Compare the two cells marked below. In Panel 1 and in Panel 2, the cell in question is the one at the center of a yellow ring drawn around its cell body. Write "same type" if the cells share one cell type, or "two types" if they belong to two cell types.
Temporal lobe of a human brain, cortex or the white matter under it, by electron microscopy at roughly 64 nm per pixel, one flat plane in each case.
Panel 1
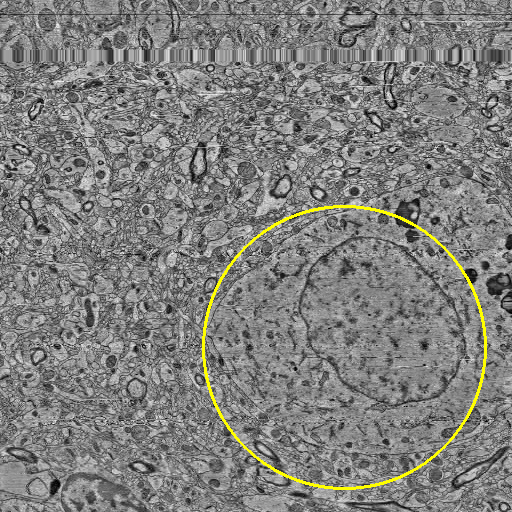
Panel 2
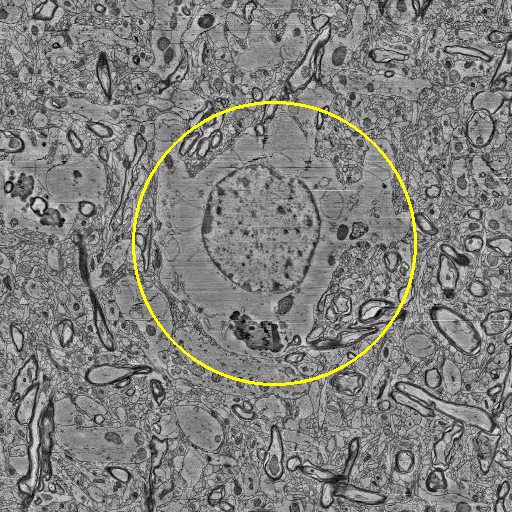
two types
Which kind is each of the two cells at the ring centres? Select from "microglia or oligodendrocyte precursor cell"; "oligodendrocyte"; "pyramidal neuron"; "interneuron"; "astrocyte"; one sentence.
The cell at the centre of the ring is a pyramidal neuron in the first picture and an astrocyte in the second.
